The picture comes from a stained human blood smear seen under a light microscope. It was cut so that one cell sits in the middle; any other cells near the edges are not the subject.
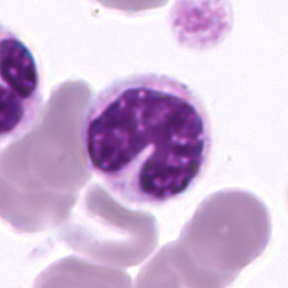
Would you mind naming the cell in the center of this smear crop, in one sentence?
Here the cell in the middle is a band neutrophil.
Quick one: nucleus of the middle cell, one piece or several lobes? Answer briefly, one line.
What stands out is a nucleus forming one compact round, oval or kidney-shaped mass.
